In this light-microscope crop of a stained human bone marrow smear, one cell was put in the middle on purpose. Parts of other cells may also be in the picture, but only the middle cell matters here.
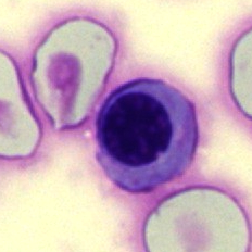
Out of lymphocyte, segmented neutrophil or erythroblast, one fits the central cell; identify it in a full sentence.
For this crop, the central cell is an erythroblast.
